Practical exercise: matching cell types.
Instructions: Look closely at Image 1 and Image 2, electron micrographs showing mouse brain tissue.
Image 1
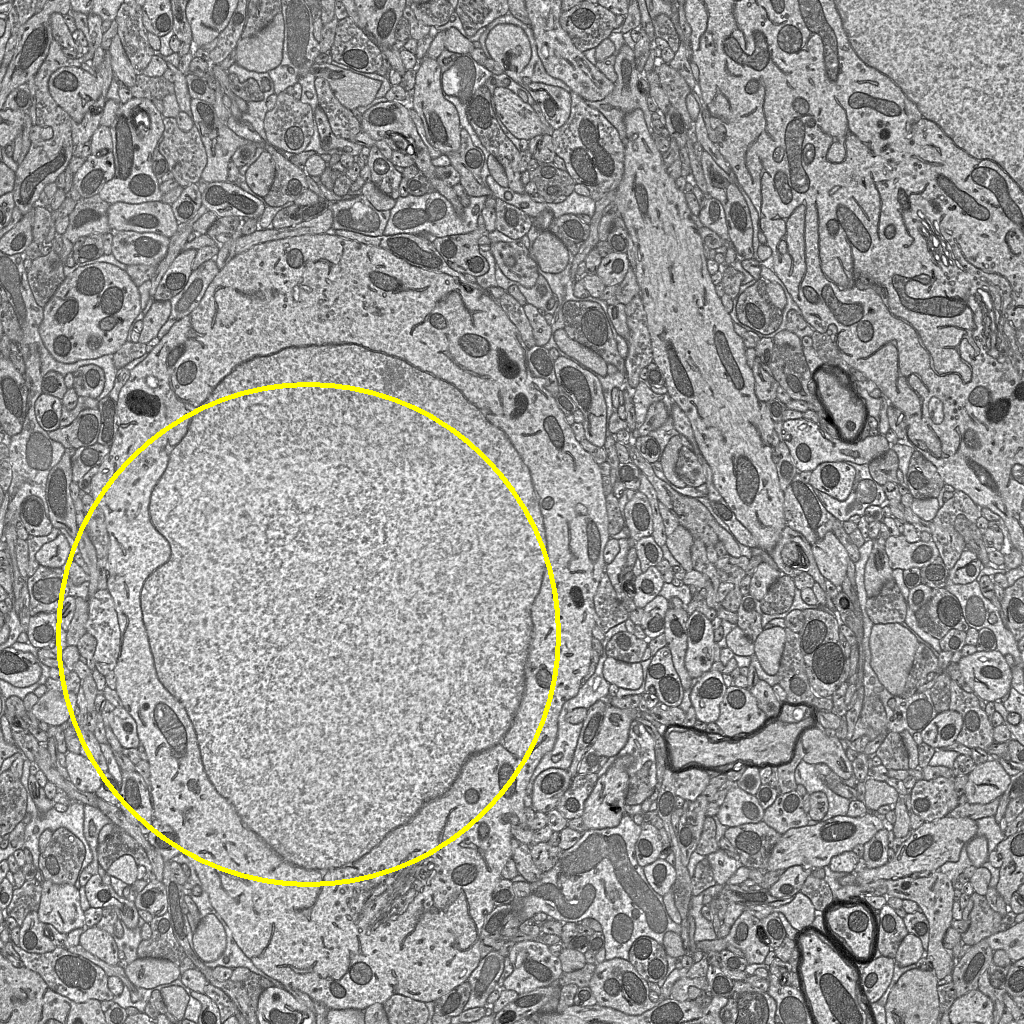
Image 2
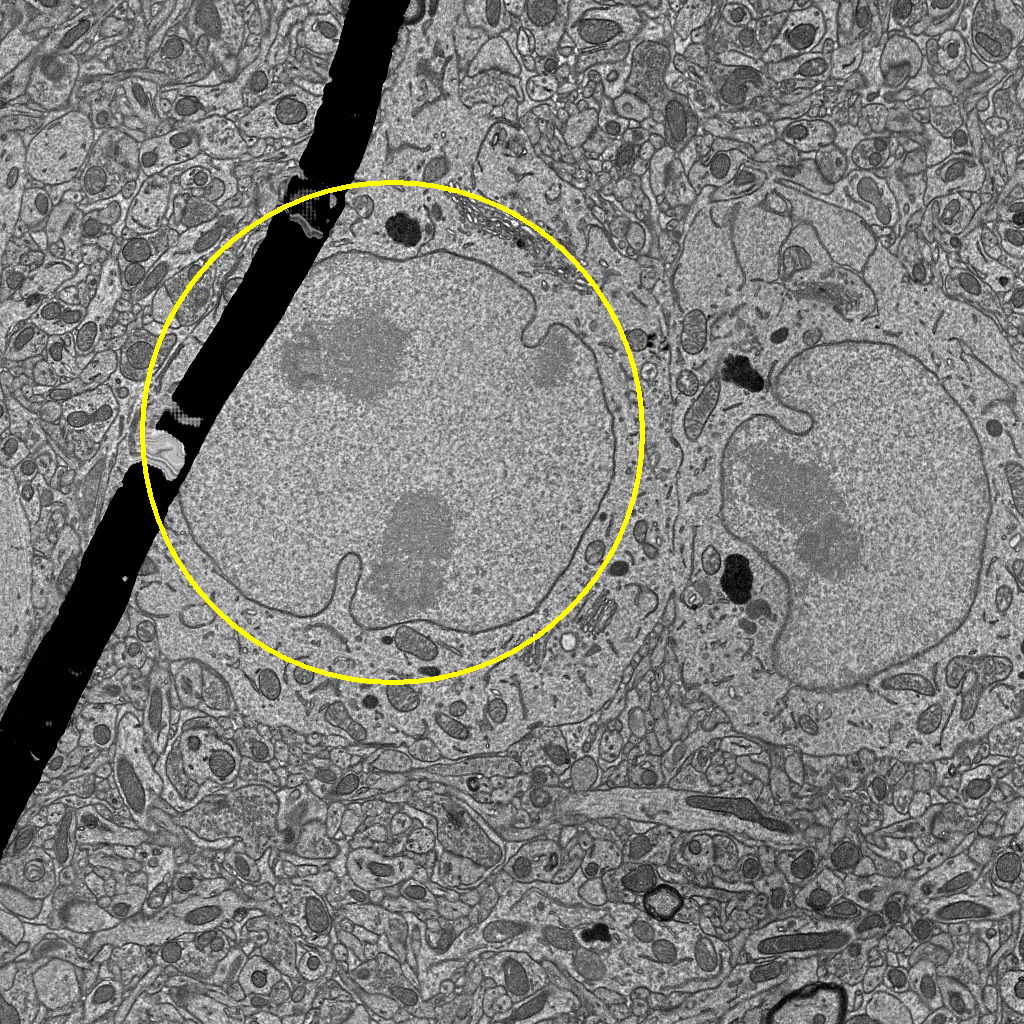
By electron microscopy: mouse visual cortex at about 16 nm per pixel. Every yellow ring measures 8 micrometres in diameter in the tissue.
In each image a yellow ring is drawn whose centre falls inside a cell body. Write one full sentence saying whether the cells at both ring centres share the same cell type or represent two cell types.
Across Image 1 and Image 2, the cells at the ring centres share the same cell type.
